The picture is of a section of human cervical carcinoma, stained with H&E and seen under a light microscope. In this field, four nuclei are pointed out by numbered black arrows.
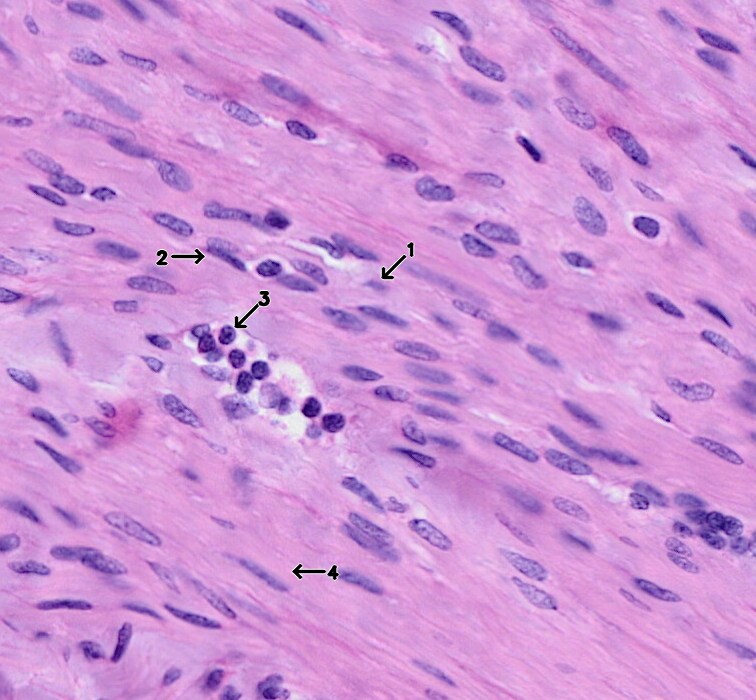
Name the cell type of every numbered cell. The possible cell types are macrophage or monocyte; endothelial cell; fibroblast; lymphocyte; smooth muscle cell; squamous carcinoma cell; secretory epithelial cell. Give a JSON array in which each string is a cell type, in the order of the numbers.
["fibroblast", "fibroblast", "lymphocyte", "fibroblast"]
